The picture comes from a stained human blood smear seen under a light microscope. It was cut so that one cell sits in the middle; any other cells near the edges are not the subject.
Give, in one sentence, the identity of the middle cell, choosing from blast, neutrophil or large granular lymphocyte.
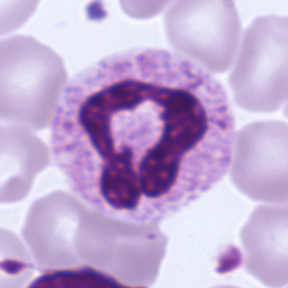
In this smear crop, the middle cell is a neutrophil.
